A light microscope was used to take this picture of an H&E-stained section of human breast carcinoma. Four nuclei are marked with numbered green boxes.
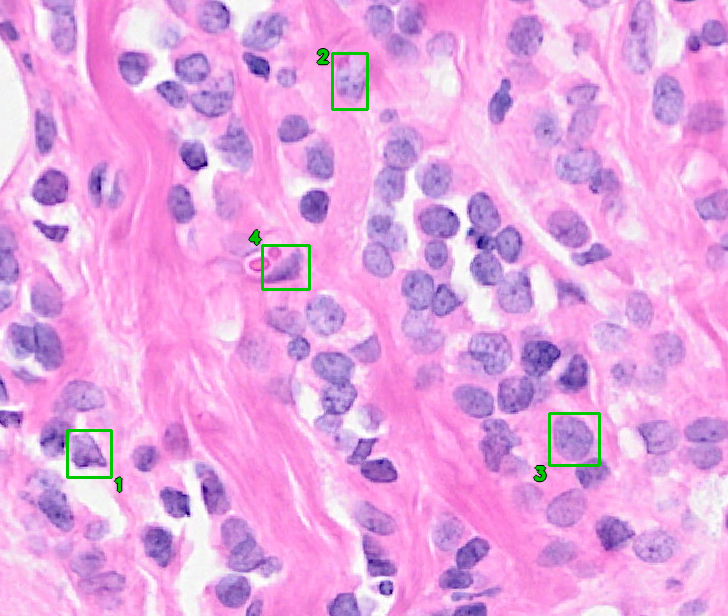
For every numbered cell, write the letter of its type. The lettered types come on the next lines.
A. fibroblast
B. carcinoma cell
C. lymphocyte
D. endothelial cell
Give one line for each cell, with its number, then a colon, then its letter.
1: B
2: D
3: B
4: D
